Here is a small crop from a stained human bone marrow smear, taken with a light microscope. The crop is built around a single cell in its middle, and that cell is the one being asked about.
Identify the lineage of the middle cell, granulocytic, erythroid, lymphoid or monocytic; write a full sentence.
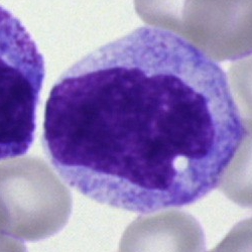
The centered cell here is of monocytic lineage.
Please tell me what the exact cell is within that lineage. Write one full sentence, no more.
Here the centrally located cell is a monocyte.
